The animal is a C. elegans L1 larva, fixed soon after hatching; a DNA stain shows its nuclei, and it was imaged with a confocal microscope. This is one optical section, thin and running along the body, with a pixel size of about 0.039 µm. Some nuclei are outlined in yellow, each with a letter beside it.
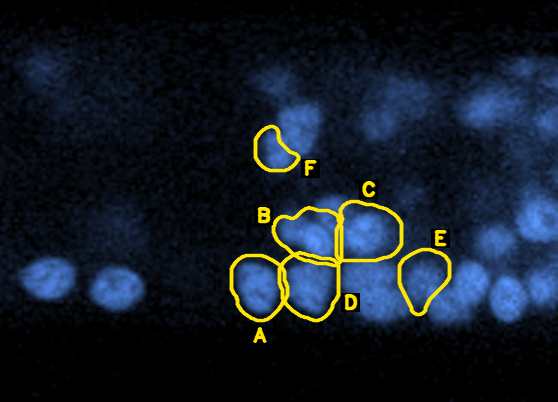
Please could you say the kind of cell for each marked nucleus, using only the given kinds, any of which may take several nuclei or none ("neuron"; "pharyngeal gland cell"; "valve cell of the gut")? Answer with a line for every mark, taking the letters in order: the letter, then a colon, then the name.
A: neuron
B: valve cell of the gut
C: pharyngeal gland cell
D: neuron
E: neuron
F: valve cell of the gut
